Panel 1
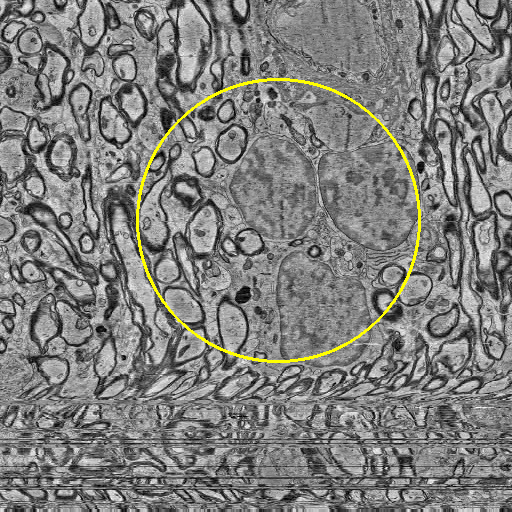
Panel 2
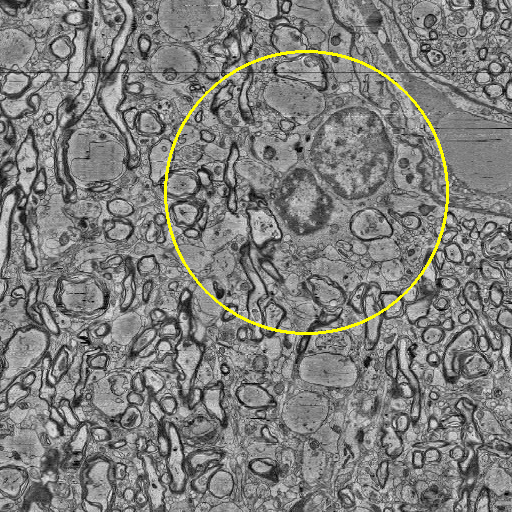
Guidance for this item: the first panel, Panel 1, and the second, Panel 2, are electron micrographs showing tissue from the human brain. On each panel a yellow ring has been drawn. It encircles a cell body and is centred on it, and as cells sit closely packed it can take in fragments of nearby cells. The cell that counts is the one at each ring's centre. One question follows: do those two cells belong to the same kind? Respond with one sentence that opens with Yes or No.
Yes, the cells at the ring centres in Panel 1 and Panel 2 are of one kind.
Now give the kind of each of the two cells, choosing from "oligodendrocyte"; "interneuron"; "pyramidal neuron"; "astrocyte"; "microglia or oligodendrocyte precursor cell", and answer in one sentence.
Both the first and the second picture show an oligodendrocyte in the ring.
